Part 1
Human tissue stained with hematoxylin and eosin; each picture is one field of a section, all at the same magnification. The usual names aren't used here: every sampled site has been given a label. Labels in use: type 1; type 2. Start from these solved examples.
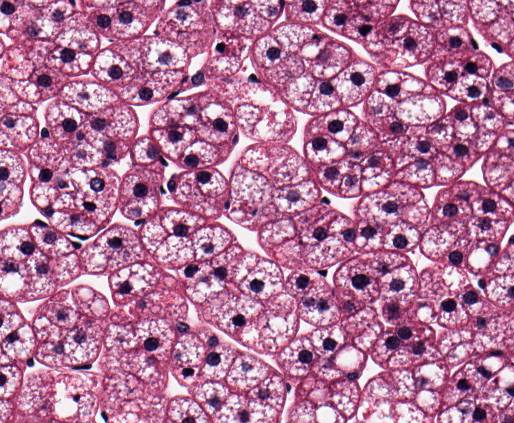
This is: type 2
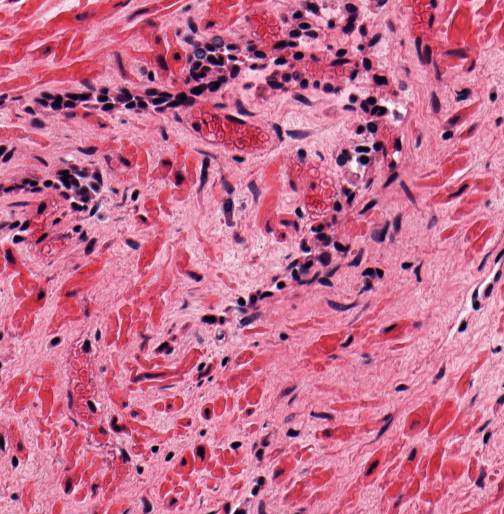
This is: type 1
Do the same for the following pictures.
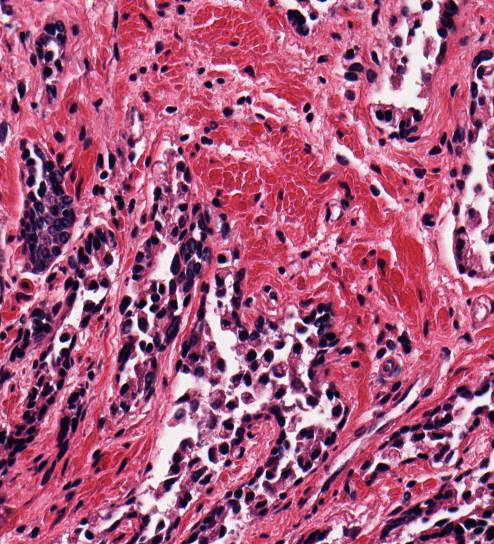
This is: type 1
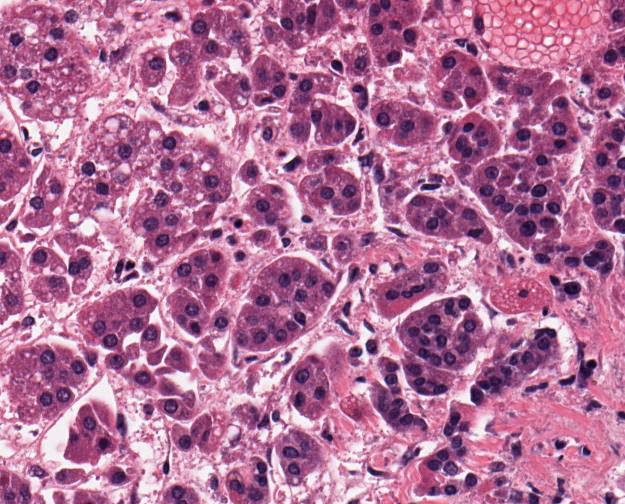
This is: type 2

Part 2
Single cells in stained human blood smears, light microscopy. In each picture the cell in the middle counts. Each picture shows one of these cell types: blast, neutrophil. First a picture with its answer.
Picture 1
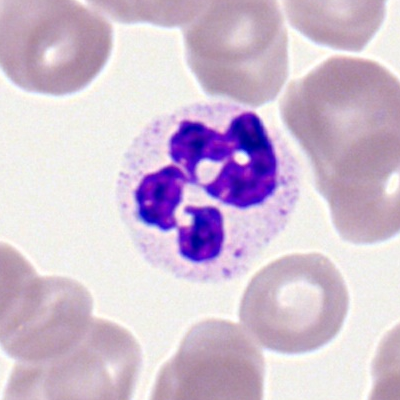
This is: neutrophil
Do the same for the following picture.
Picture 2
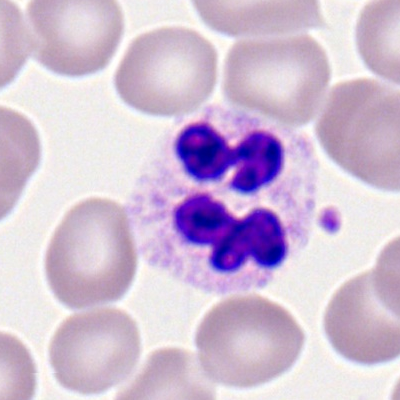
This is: neutrophil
